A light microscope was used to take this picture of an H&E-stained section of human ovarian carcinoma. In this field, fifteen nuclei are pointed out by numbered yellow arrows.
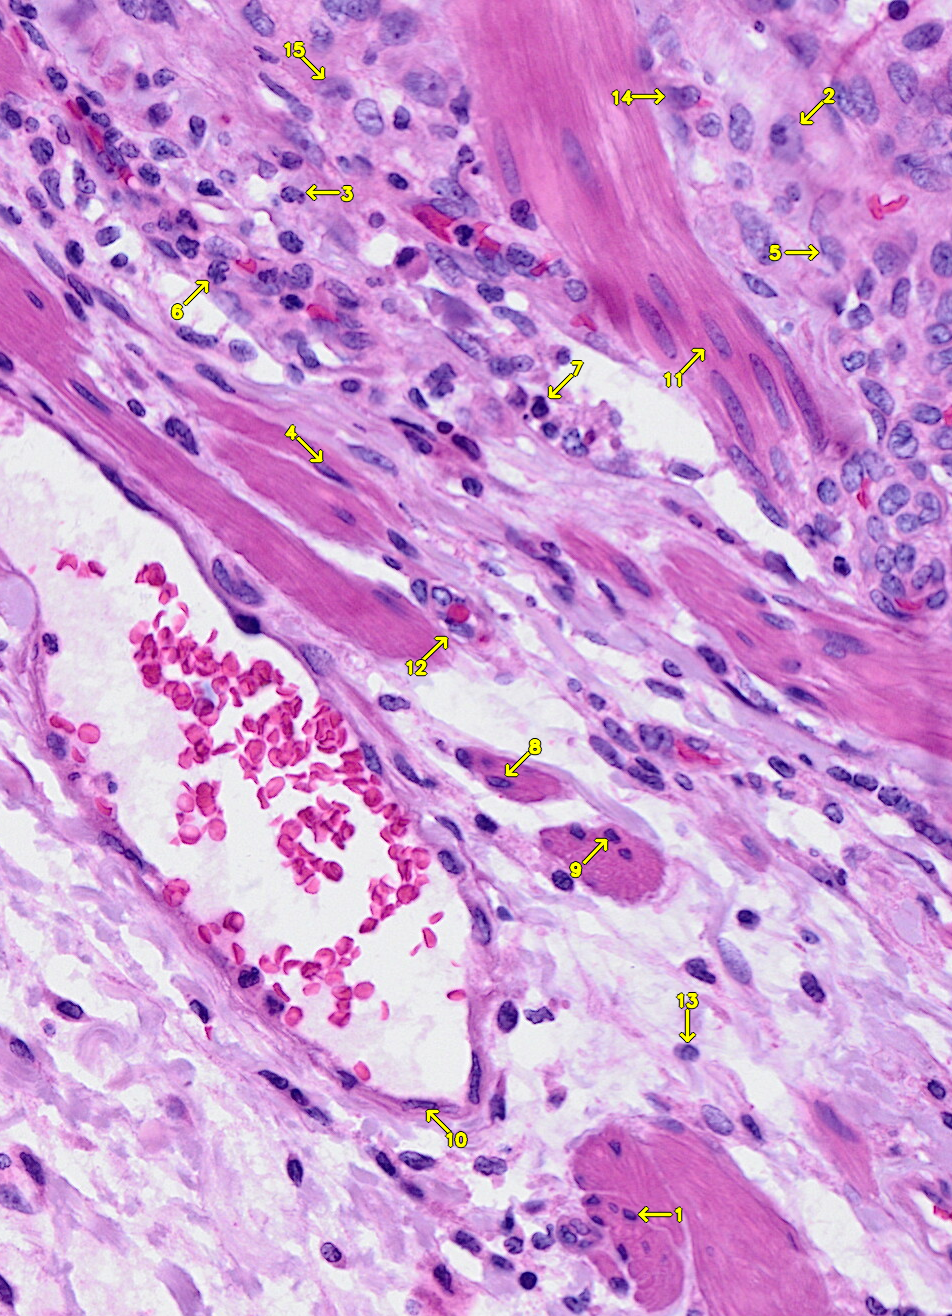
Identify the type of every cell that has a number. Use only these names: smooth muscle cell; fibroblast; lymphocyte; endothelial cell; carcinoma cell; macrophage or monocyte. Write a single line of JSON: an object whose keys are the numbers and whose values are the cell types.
{"1": "smooth muscle cell", "2": "fibroblast", "3": "lymphocyte", "4": "smooth muscle cell", "5": "fibroblast", "6": "lymphocyte", "7": "lymphocyte", "8": "smooth muscle cell", "9": "smooth muscle cell", "10": "endothelial cell", "11": "smooth muscle cell", "12": "endothelial cell", "13": "lymphocyte", "14": "endothelial cell", "15": "fibroblast"}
